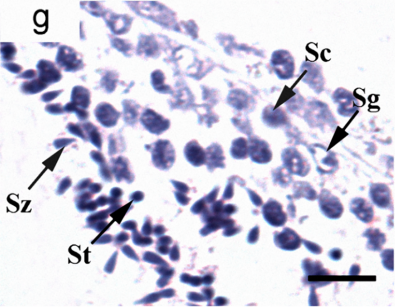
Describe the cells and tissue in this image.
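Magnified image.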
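Larger rounded cells with purple nuclei lie toward the wall, with a paler cell near the edge, while small dense dark cells and tiny elongated dark heads lie further in. The cells look loosely packed with clear spaces between them.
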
